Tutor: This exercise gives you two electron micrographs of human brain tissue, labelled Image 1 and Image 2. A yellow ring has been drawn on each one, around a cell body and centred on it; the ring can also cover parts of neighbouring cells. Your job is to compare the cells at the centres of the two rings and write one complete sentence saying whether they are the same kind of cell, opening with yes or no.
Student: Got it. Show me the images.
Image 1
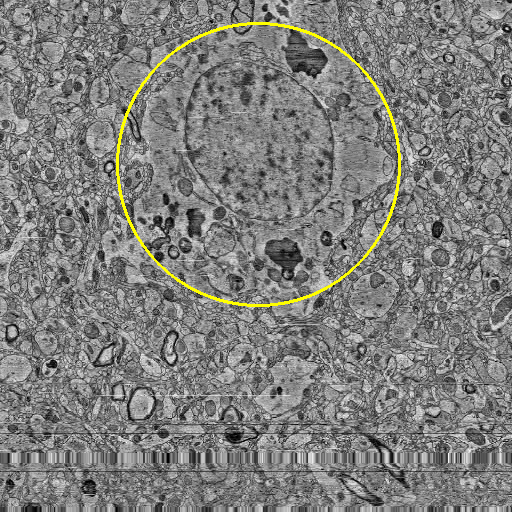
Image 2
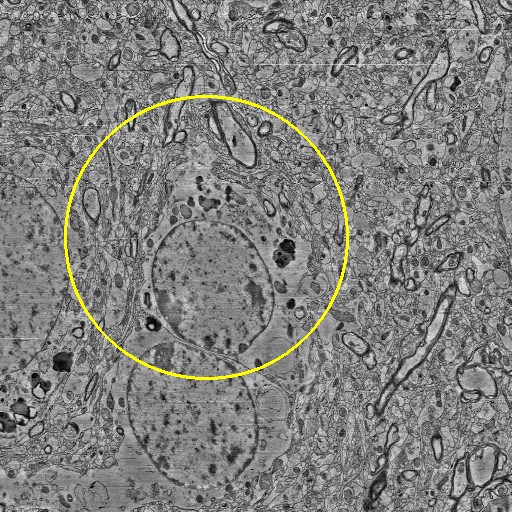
Yes, the two cells belong to the same kind.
